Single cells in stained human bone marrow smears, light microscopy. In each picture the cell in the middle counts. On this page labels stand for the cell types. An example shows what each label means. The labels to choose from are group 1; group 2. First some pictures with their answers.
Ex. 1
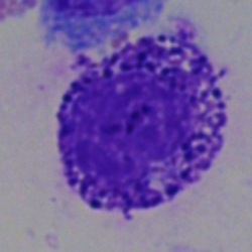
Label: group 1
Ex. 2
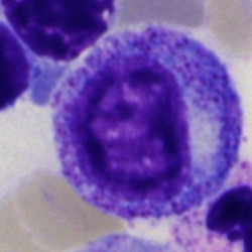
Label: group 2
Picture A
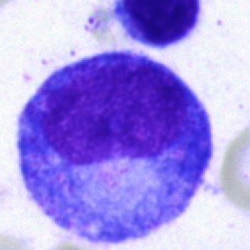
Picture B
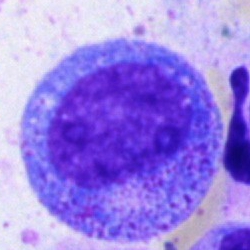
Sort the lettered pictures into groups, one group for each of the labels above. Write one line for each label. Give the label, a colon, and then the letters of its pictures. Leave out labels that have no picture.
group 2: A, B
